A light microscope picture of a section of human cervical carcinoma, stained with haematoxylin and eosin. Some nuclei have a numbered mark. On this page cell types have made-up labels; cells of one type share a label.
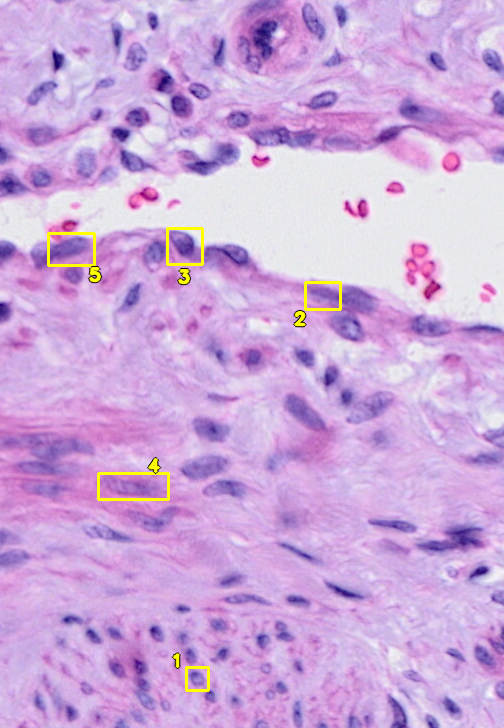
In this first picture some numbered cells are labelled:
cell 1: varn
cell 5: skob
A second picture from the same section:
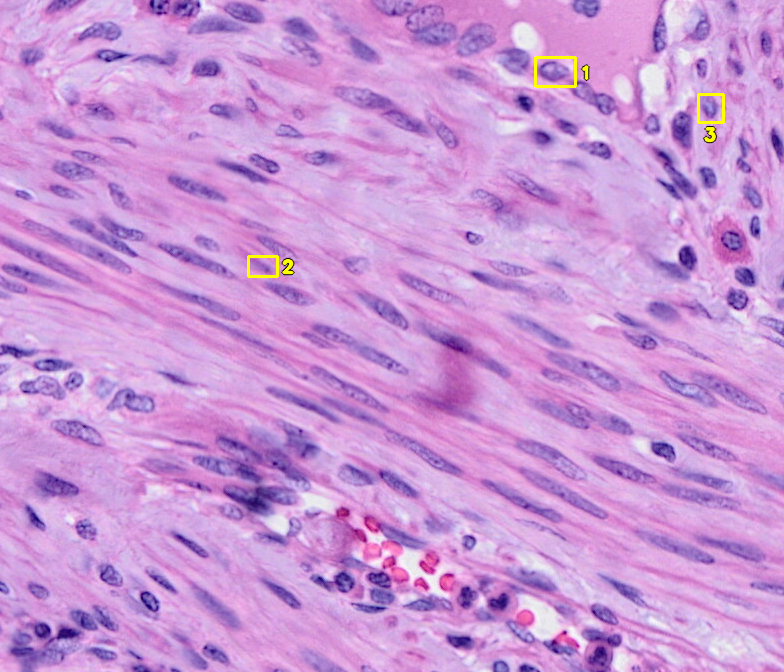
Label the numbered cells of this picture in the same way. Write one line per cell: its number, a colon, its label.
1: skob
2: varn
3: varn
